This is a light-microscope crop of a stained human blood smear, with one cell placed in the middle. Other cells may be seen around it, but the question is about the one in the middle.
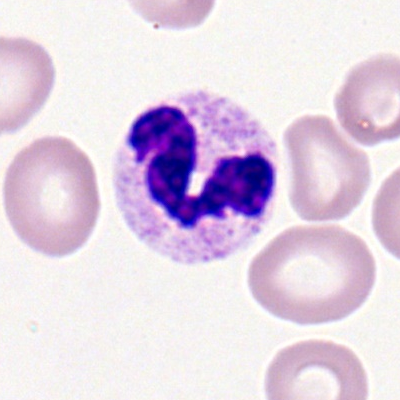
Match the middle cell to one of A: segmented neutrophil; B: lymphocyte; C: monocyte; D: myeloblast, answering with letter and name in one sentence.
The middle cell of the crop is a segmented neutrophil; accordingly, option A is correct.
